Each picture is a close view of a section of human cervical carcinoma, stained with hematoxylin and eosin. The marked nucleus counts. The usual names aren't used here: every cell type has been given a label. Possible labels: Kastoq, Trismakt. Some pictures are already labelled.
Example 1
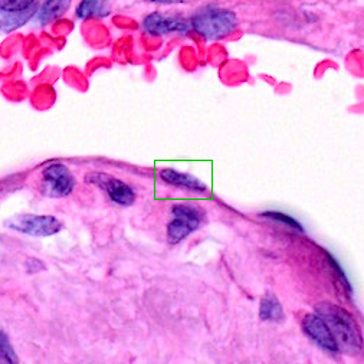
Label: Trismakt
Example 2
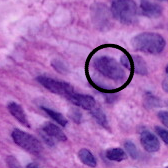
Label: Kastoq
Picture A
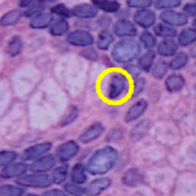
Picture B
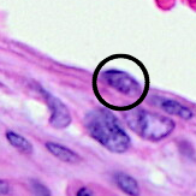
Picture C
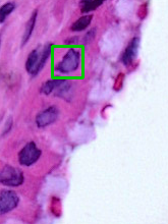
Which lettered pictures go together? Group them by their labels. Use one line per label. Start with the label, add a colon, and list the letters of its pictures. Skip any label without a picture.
Kastoq: A, C
Trismakt: B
